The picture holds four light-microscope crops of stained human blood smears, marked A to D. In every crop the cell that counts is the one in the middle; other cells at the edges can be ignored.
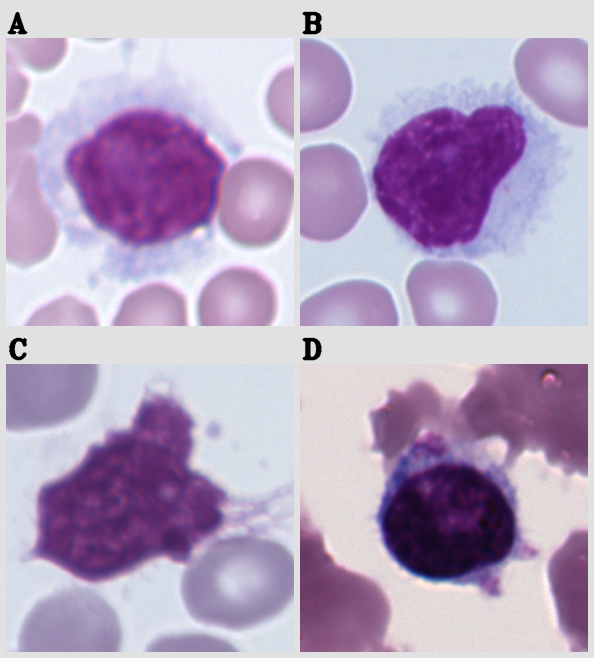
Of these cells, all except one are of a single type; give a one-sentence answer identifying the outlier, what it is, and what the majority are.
Where the others show hairy cells, crop C shows a smudge cell.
